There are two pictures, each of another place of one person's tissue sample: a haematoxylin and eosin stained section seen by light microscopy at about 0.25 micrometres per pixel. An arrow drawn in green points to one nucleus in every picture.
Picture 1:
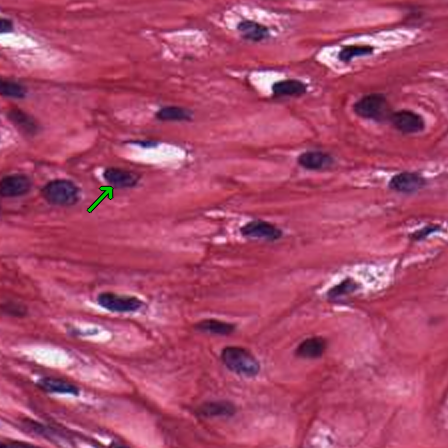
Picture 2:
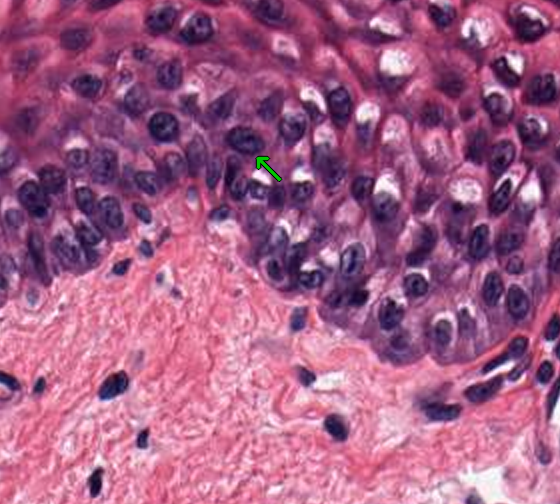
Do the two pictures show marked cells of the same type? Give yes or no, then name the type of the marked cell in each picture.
Yes, both are squamous epithelial cells.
